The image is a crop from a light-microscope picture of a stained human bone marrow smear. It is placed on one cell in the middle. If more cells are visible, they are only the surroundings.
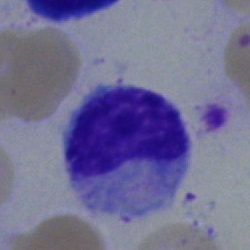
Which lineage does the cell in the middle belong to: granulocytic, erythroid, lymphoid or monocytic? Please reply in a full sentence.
Under the granulocytic lineage falls the cell in the middle of the crop.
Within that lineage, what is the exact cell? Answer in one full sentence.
The central cell, amid any neighbouring cells, is a metamyelocyte.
